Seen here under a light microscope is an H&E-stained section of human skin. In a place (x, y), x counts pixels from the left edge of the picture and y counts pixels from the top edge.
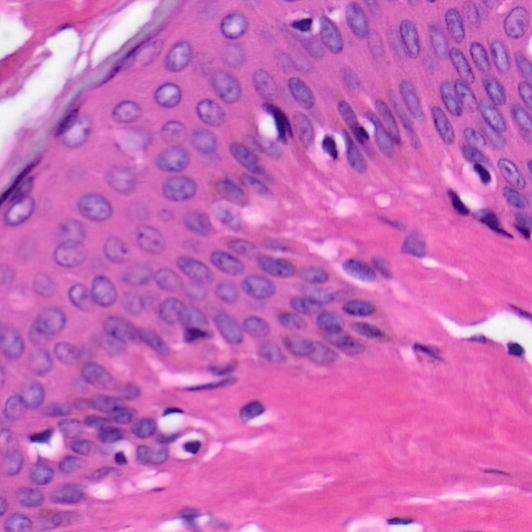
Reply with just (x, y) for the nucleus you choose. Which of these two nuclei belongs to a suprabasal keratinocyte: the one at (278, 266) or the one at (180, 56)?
(180, 56)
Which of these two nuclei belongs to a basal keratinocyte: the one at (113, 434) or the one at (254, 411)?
(113, 434)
